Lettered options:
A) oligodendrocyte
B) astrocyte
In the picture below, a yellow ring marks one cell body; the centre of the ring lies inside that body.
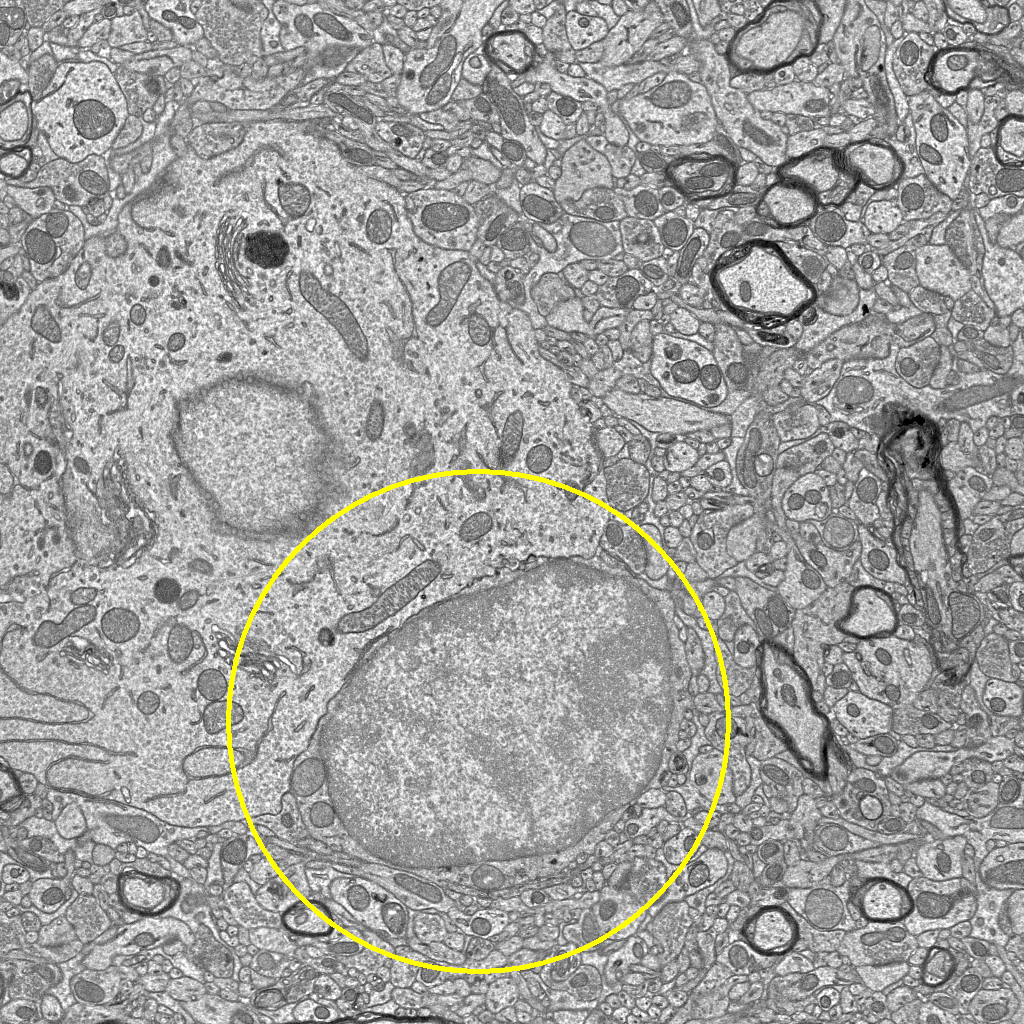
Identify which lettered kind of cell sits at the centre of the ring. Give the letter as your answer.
A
